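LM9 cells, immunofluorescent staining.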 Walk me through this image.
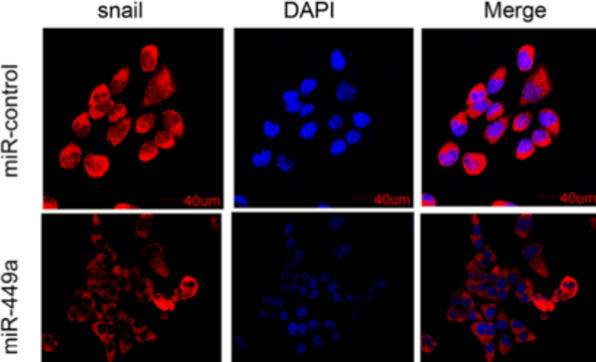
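Clusters of cultured cells are shown in two rows, each with the red channel alone, the blue nuclear channel alone and a merged image. In the upper row the cells are large and rounded to polygonal, with red staining that fills the cytoplasm and also lies over the oval blue nuclei. In the lower row the cells are smaller and more crowded, and the red staining is weaker over the blue nuclei, lying mostly in the surrounding cytoplasm.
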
